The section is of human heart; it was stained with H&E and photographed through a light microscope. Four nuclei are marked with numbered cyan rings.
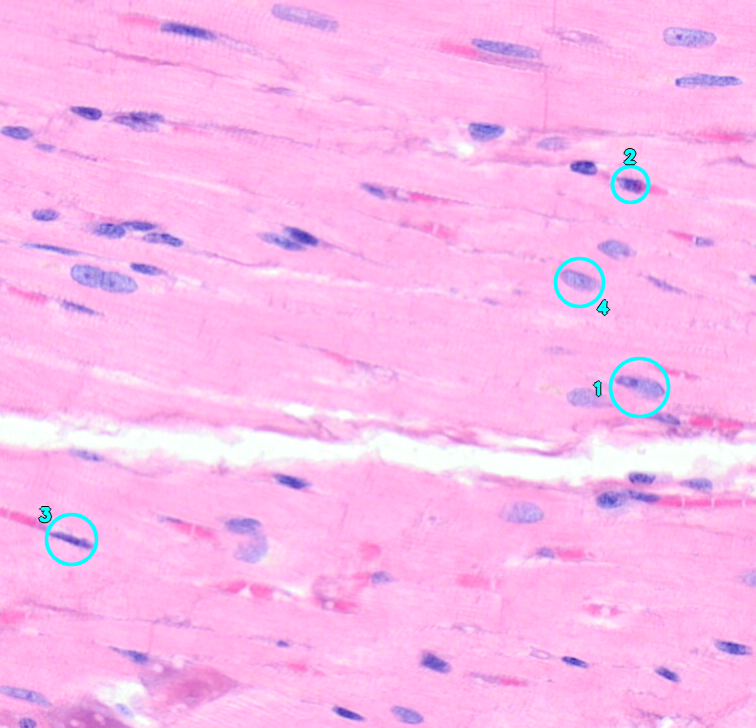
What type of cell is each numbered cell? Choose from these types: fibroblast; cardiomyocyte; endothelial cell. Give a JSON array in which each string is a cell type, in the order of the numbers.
["cardiomyocyte", "endothelial cell", "endothelial cell", "cardiomyocyte"]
